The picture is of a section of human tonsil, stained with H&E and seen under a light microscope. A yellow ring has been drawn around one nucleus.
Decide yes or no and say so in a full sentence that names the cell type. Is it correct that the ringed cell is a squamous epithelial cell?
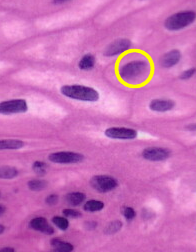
Yes, the ringed cell is rightly regarded as a squamous epithelial cell.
